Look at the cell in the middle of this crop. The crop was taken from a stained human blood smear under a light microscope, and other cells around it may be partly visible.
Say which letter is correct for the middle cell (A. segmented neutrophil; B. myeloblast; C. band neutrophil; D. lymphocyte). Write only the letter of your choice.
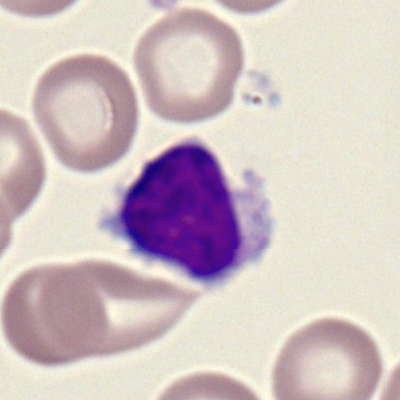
D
